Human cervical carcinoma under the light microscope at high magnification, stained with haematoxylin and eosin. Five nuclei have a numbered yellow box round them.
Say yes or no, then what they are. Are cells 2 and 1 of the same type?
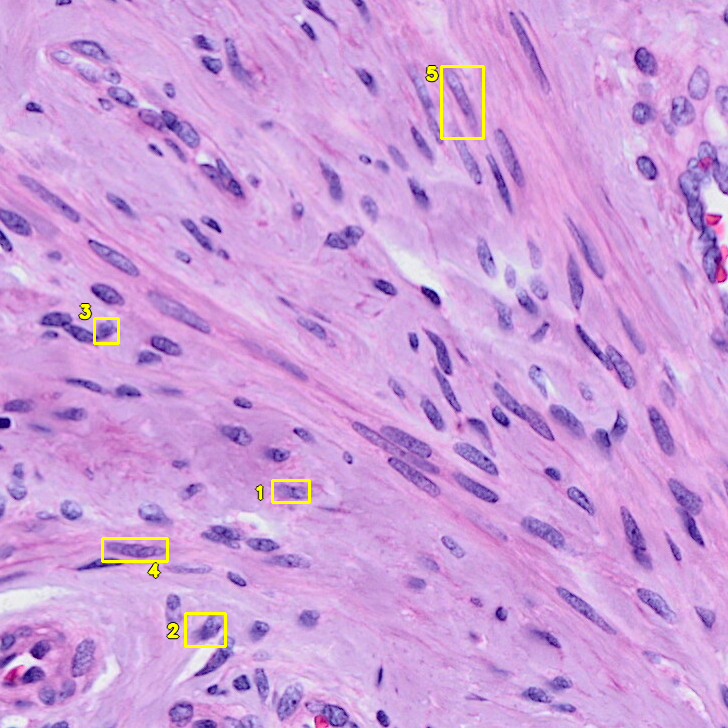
No, cell 2 is a fibroblast and cell 1 is a smooth muscle cell.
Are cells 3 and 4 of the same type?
No, cell 3 is a fibroblast and cell 4 is a smooth muscle cell.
